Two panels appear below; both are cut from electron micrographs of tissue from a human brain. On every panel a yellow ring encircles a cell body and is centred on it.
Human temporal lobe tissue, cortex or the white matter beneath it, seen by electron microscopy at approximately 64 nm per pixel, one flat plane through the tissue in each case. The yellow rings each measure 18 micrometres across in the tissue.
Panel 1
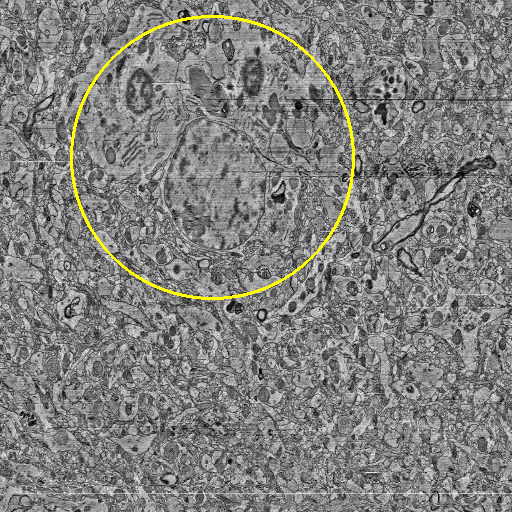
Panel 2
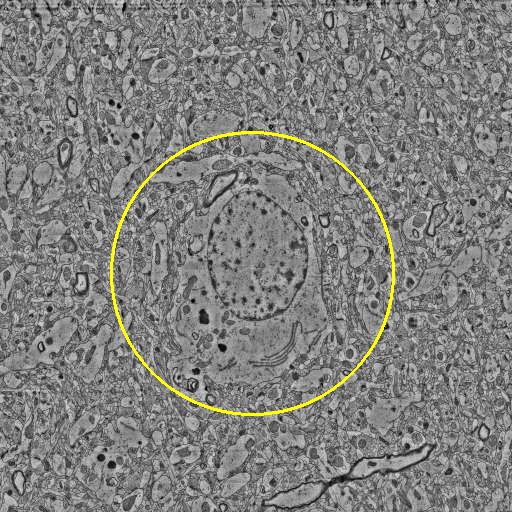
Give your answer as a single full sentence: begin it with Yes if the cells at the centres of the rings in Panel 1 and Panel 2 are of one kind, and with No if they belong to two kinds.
Yes, the cells in the middle of the rings in Panels 1 and 2 are of one kind.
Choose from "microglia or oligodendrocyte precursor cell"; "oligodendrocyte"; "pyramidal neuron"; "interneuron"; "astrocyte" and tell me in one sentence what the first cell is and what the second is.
The cell at the ring centre is an astrocyte in both pictures.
